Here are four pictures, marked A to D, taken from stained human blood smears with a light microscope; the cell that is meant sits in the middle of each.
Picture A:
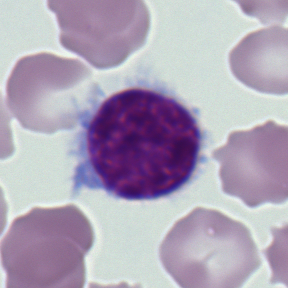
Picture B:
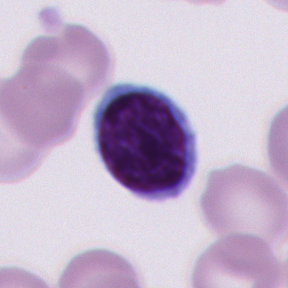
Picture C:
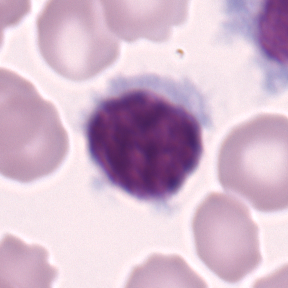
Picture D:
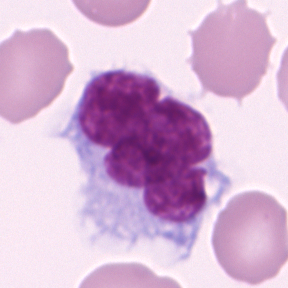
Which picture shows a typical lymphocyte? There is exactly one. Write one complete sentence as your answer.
The cell in picture B is the typical lymphocyte.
